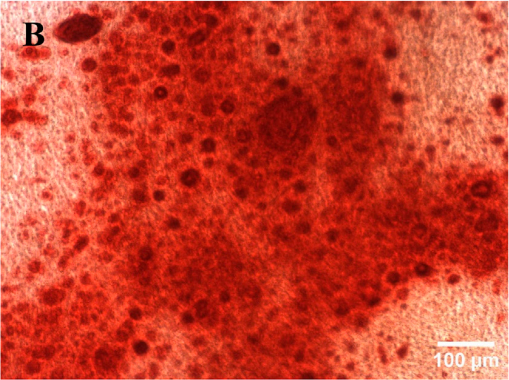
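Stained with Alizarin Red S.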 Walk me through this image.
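A broad red-stained area fills most of the field. Within it lie numerous small, rounded, darker red nodules of varying size, some with a distinct rim, scattered densely across a more diffuse red background. At the edges of the field, paler regions show the underlying layer of elongated, spindle-shaped cells arranged in parallel, with only faint pink staining. The deposits are densest in the centre and thin out toward these pale margins, where single red dots remain.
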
